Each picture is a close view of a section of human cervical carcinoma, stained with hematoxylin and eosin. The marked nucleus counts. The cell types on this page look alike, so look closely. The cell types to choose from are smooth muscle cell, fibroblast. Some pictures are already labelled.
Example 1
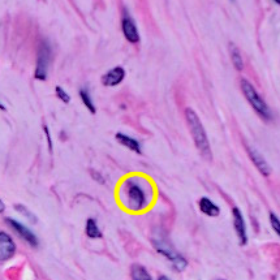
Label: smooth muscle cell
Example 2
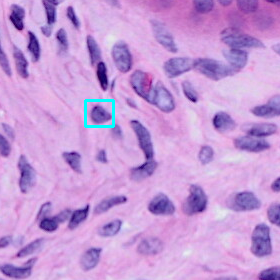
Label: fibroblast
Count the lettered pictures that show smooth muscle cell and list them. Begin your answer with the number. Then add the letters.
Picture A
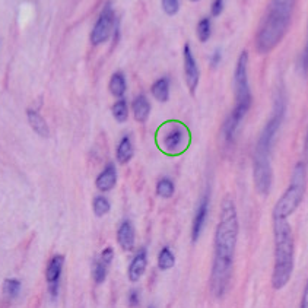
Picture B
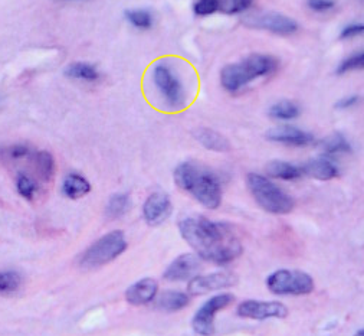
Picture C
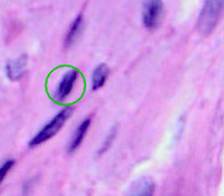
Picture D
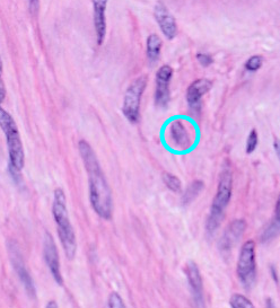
2: A, D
